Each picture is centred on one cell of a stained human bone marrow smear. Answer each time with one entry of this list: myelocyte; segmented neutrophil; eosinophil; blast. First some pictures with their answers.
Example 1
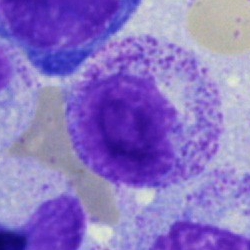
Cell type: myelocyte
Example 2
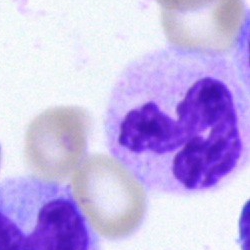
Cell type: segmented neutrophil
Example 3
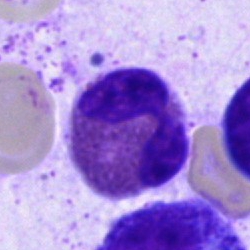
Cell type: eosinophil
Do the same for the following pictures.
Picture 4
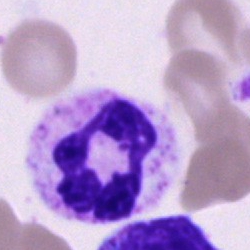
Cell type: segmented neutrophil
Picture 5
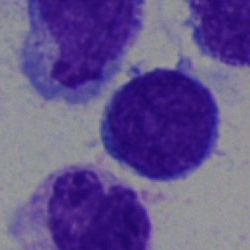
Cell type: blast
